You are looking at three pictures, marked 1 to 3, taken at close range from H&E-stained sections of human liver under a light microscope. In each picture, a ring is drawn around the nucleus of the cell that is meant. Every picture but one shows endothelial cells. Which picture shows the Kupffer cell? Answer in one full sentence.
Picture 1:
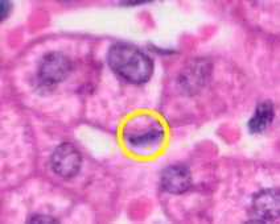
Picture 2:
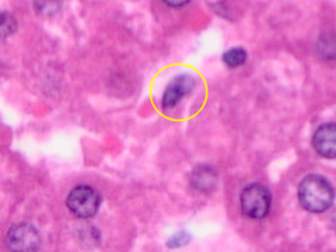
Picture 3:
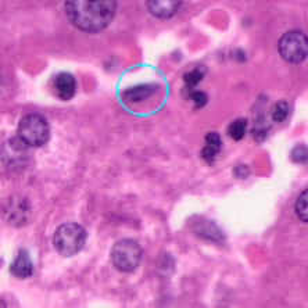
The Kupffer cell is the one in picture 2.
